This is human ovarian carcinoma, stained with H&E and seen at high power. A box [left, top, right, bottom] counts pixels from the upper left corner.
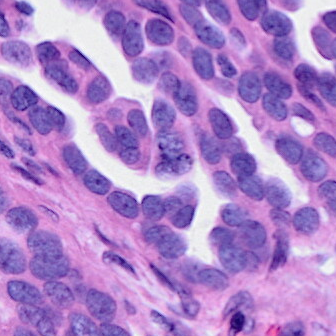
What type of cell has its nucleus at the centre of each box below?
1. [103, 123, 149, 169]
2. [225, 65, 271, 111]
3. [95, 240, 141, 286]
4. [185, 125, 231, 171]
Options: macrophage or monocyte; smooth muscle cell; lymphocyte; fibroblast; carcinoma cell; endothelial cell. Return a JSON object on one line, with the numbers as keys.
{"1": "carcinoma cell", "2": "carcinoma cell", "3": "fibroblast", "4": "carcinoma cell"}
